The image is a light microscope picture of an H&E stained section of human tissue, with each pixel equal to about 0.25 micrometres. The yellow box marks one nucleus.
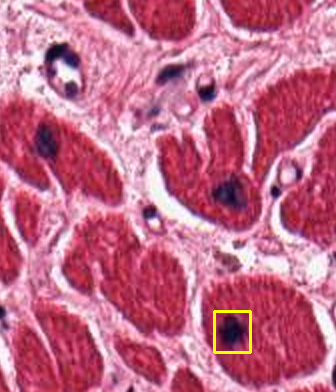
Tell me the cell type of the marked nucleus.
cardiomyocyte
